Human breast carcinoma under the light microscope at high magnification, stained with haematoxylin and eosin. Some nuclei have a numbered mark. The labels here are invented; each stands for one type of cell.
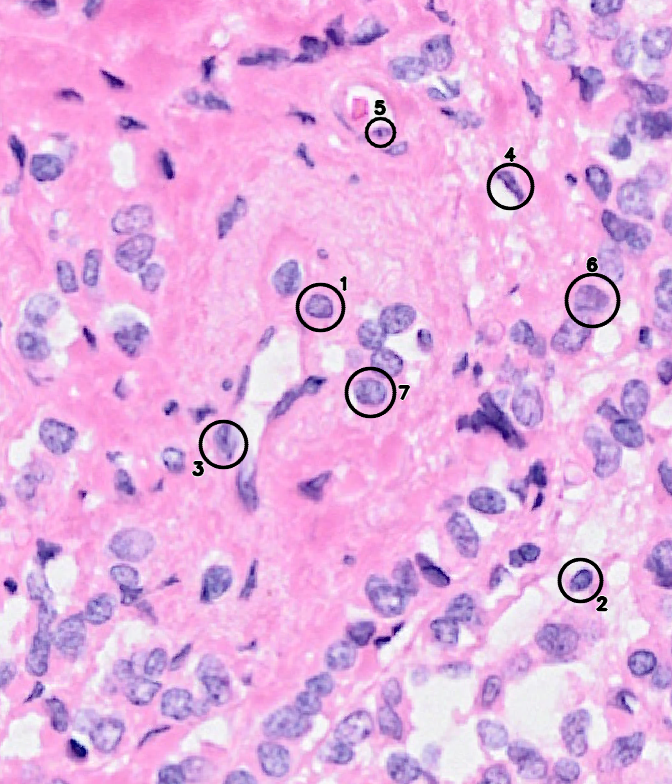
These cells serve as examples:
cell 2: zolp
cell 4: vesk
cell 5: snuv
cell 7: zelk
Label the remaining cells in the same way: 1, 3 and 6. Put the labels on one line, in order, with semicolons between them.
zelk; snuv; zelk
